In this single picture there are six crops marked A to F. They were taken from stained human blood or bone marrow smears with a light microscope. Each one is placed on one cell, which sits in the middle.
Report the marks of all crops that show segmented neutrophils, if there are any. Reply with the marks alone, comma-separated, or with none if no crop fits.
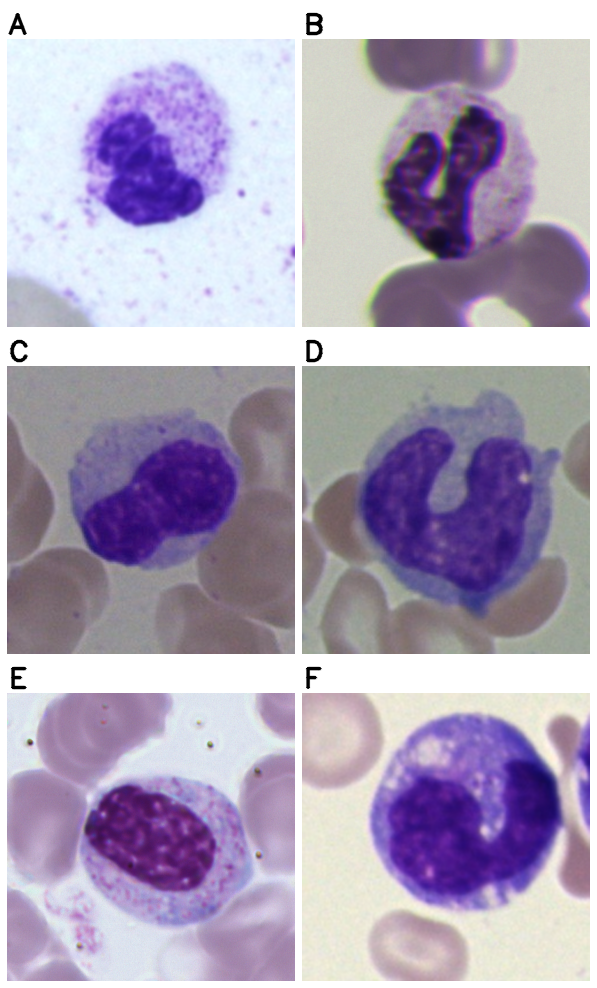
A, B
